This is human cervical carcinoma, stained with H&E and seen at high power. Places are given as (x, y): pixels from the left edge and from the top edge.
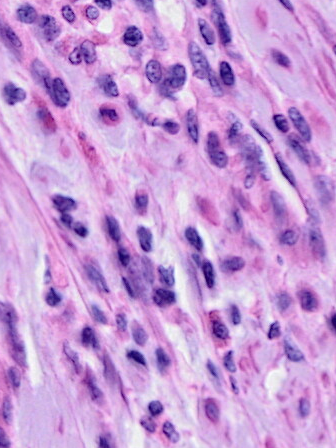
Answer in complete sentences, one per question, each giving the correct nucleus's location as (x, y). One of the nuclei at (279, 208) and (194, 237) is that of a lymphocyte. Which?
Of the two nuclei, the nucleus belonging to a lymphocyte is located at (194, 237).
